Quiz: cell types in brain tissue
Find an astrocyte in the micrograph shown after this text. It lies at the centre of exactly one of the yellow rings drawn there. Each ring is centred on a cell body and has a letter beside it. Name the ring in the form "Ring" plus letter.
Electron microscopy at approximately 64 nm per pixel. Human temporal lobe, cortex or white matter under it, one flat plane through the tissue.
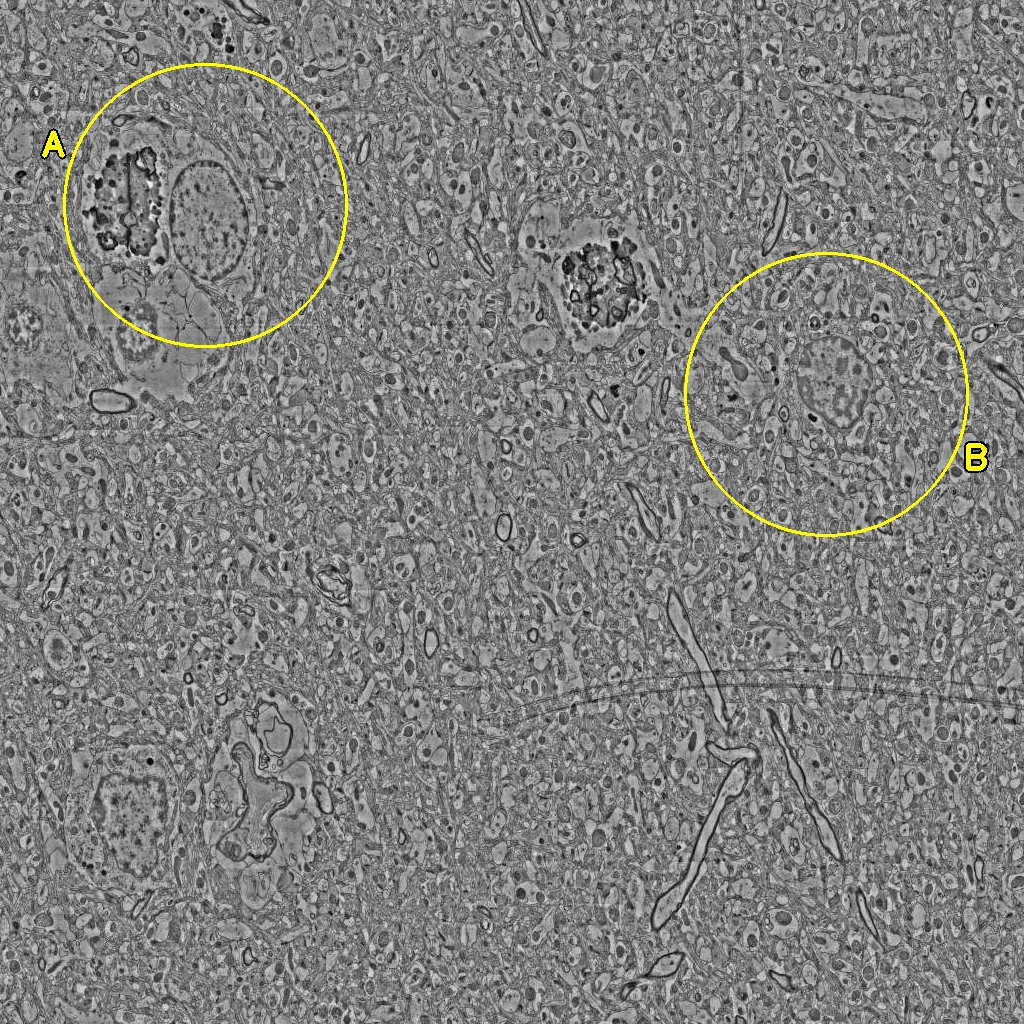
Ring A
